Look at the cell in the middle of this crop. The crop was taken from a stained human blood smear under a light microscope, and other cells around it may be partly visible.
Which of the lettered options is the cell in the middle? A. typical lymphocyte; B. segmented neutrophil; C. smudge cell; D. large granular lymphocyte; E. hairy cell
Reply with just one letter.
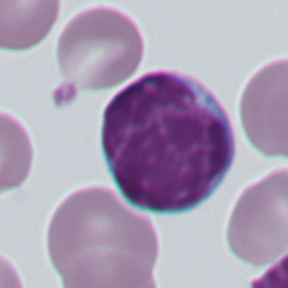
A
